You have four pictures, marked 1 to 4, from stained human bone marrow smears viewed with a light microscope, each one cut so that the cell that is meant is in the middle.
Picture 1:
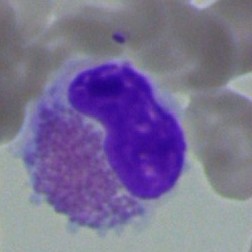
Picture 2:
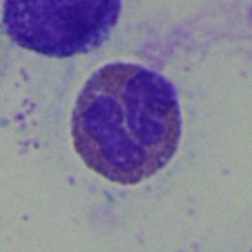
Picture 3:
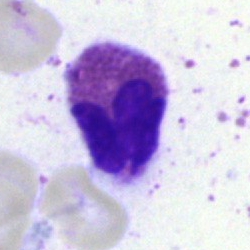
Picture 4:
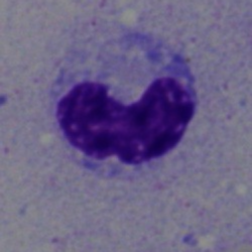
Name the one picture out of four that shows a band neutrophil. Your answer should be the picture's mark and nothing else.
4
